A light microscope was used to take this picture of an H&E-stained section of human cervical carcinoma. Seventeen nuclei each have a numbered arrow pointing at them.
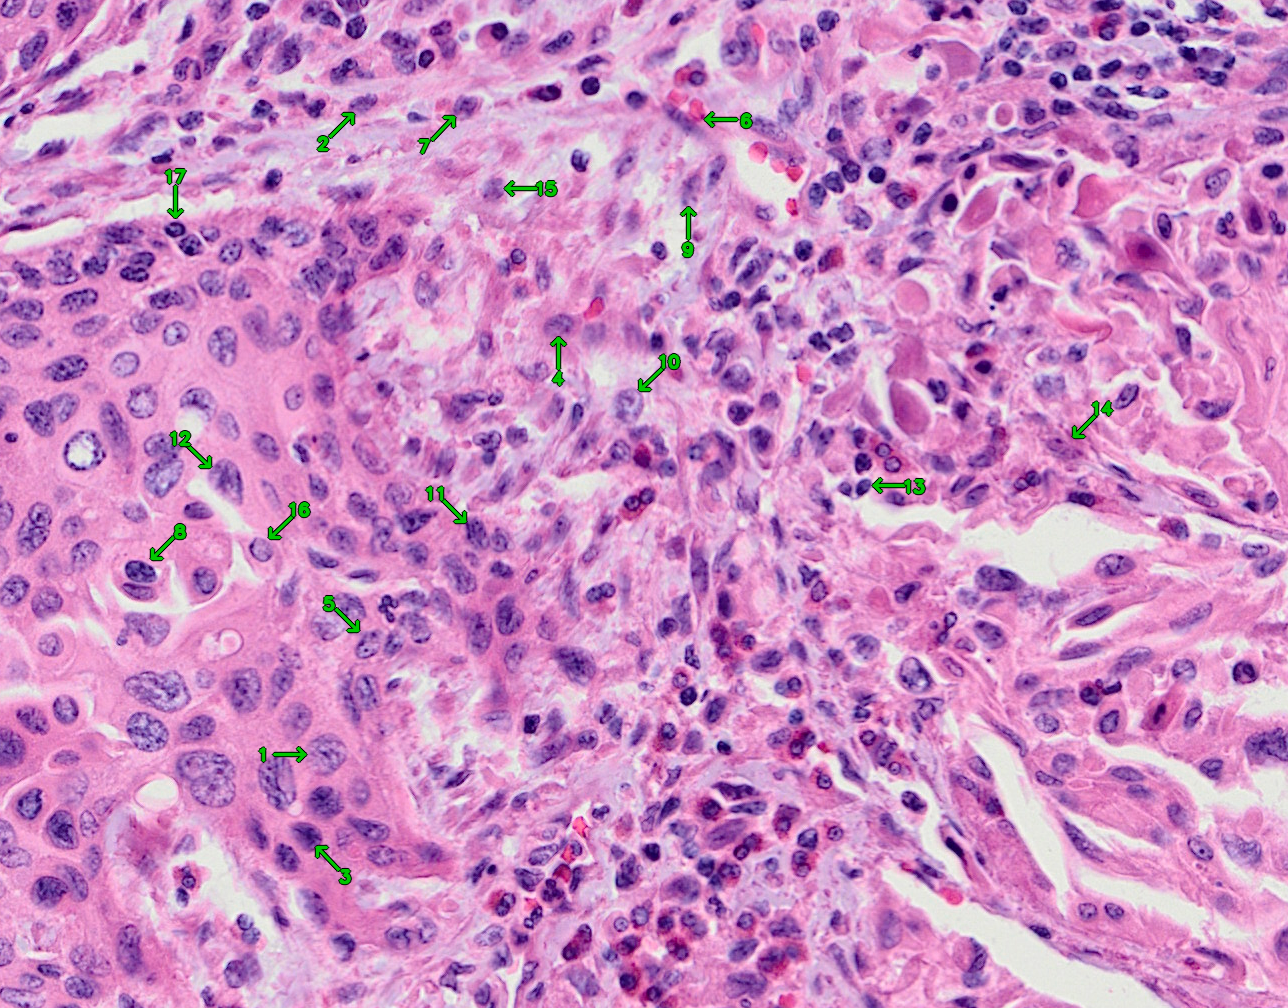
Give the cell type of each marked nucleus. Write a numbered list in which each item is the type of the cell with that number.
1. squamous carcinoma cell
2. macrophage or monocyte
3. squamous carcinoma cell
4. endothelial cell
5. squamous carcinoma cell
6. endothelial cell
7. macrophage or monocyte
8. squamous carcinoma cell
9. fibroblast
10. fibroblast
11. squamous carcinoma cell
12. squamous carcinoma cell
13. lymphocyte
14. fibroblast
15. fibroblast
16. squamous carcinoma cell
17. squamous carcinoma cell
